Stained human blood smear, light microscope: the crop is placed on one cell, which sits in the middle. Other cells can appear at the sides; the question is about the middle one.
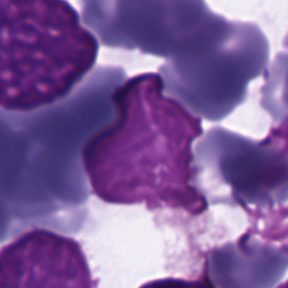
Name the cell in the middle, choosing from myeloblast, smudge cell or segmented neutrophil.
smudge cell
